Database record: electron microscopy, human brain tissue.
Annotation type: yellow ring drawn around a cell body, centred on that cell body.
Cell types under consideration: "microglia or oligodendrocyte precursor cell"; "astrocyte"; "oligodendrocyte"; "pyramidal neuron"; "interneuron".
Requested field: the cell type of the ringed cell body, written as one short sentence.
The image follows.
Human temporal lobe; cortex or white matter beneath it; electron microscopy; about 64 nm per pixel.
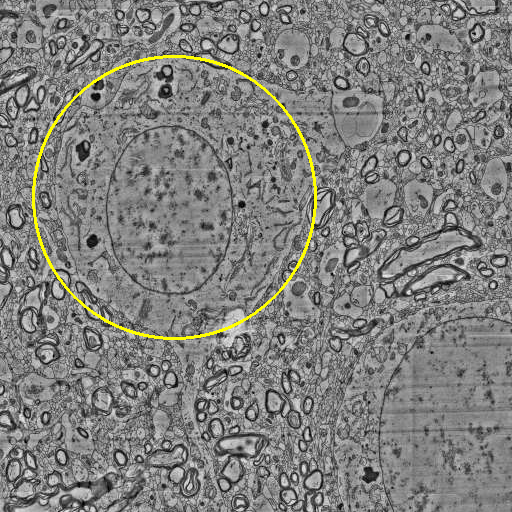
The ringed cell body represents a pyramidal neuron.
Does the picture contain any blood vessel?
No, none is visible.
